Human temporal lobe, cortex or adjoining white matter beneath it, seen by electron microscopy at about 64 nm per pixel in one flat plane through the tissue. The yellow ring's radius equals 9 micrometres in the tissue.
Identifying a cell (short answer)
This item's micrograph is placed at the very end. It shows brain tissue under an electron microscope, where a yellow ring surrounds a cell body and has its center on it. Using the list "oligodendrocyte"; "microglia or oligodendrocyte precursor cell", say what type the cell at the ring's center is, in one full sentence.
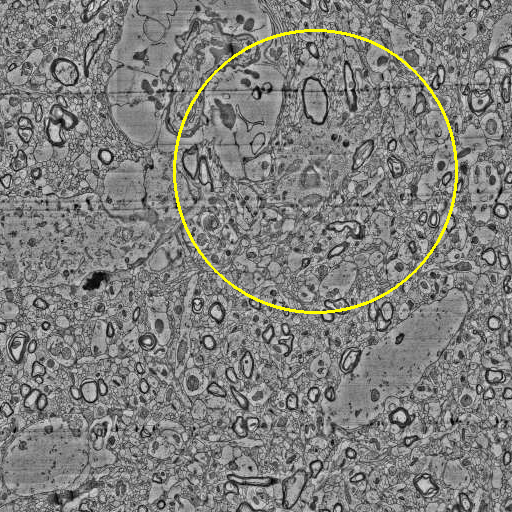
This picture shows an oligodendrocyte at the center of the yellow ring drawn on it.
